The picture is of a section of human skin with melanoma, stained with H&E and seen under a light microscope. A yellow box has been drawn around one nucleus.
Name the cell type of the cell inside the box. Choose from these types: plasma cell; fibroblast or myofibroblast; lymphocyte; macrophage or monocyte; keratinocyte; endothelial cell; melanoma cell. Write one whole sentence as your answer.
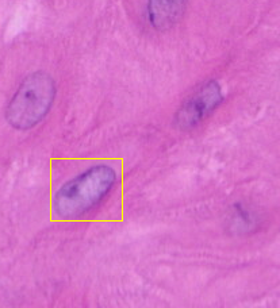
This is a keratinocyte.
